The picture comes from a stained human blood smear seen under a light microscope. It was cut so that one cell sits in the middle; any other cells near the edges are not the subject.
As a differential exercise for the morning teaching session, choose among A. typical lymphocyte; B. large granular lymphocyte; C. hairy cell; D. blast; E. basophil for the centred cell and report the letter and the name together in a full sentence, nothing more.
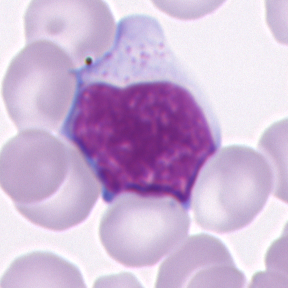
In this crop the middle cell is a large granular lymphocyte, so option B is the correct answer.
